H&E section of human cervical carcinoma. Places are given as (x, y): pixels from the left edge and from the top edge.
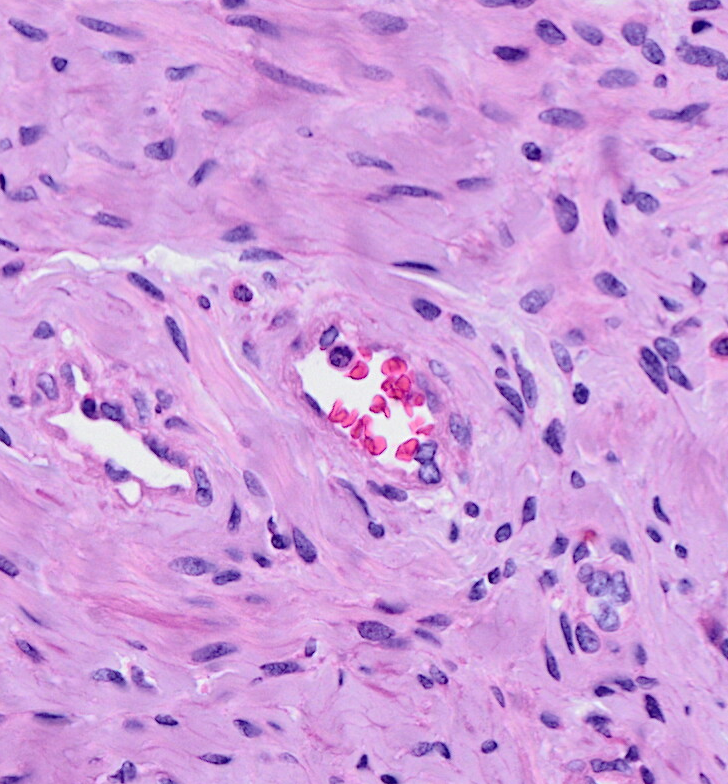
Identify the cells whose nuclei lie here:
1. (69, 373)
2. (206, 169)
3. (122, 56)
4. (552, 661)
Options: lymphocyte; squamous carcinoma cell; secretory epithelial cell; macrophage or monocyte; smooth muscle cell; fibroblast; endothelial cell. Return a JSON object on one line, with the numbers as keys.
{"1": "endothelial cell", "2": "fibroblast", "3": "fibroblast", "4": "fibroblast"}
